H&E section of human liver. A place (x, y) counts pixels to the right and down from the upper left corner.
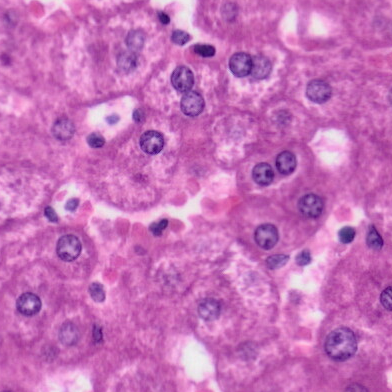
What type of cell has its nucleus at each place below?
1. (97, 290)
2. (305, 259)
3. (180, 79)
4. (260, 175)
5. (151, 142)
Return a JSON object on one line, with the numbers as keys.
{"1": "lymphocyte", "2": "lymphocyte", "3": "hepatocyte", "4": "hepatocyte", "5": "hepatocyte"}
